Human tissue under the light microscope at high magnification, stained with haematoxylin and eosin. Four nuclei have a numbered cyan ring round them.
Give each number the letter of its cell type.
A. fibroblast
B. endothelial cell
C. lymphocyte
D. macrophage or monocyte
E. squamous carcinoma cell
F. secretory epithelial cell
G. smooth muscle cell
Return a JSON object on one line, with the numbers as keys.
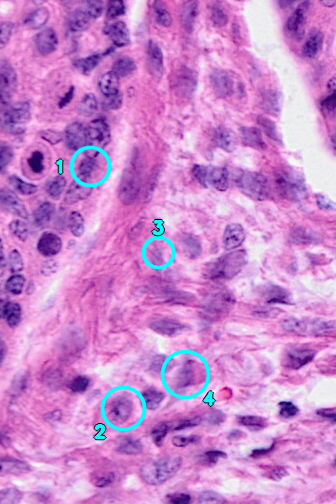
{"1": "E", "2": "D", "3": "A", "4": "A"}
